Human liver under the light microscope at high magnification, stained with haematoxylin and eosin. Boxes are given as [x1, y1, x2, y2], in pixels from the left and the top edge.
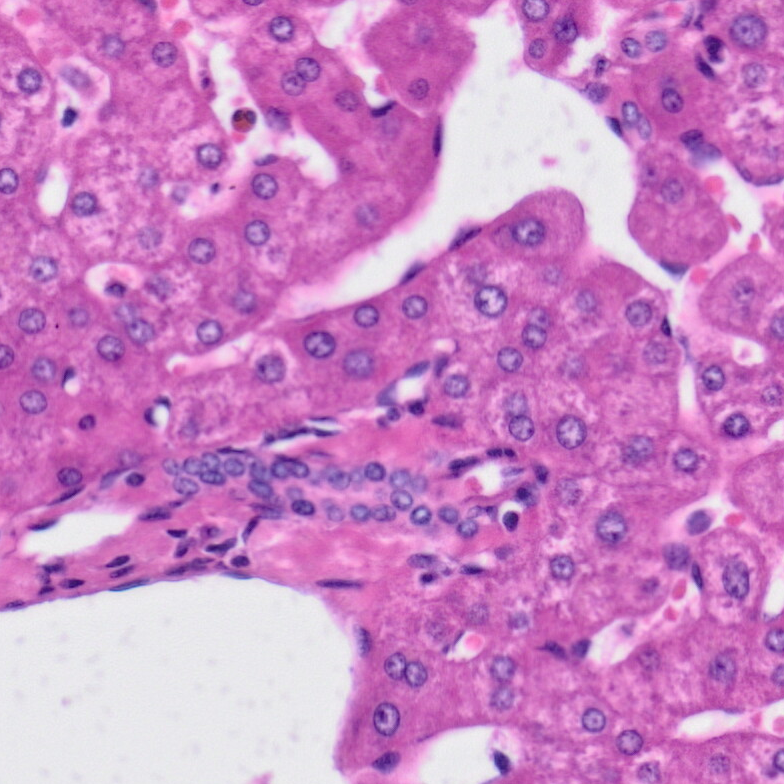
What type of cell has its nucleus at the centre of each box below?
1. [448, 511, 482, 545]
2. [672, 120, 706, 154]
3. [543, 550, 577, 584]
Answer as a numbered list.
1. cholangiocyte
2. fibroblast or stellate cell
3. hepatocyte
